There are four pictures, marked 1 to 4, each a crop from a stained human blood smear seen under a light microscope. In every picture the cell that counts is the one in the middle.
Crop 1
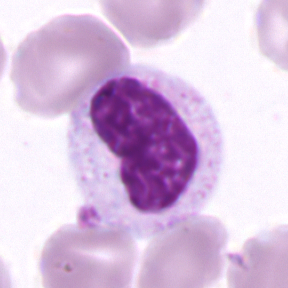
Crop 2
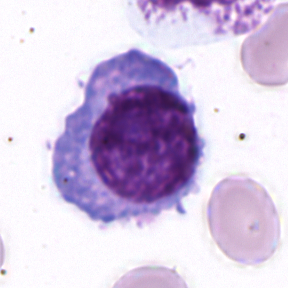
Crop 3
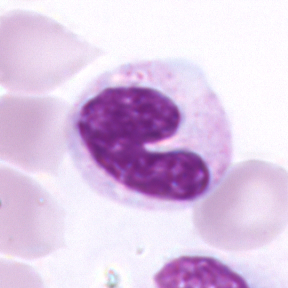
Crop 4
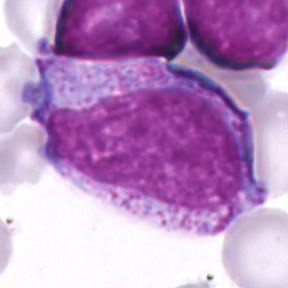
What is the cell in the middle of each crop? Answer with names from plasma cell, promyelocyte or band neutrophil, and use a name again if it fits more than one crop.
1: band neutrophil
2: plasma cell
3: band neutrophil
4: promyelocyte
